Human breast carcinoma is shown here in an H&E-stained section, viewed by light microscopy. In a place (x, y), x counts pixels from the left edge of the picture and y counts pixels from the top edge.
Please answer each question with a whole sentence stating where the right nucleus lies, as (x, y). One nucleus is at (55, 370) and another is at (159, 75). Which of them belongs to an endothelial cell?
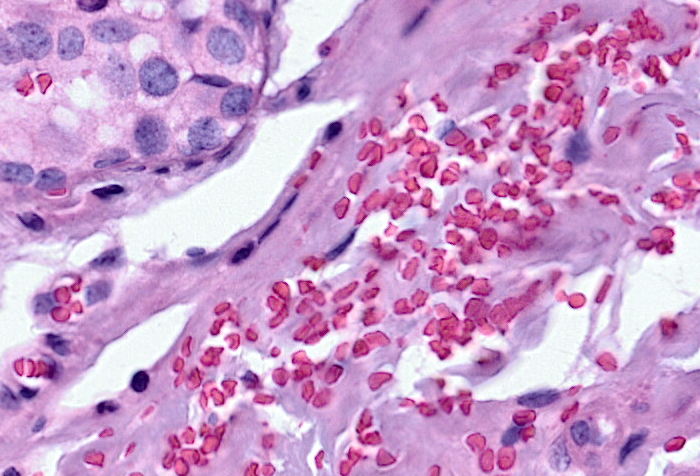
Identify the nucleus at (55, 370) as the one belonging to an endothelial cell.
